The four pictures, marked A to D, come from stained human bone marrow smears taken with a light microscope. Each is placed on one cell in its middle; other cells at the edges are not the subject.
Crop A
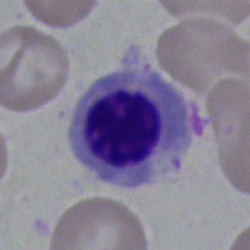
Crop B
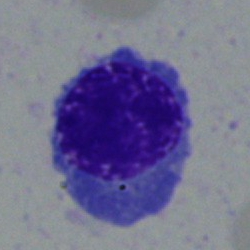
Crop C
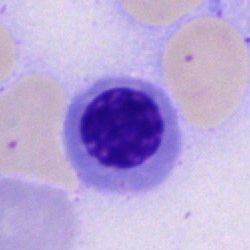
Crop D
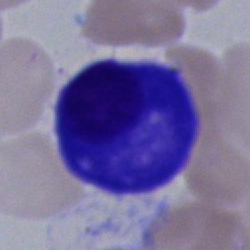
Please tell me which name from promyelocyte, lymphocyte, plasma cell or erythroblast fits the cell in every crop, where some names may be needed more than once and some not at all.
A: erythroblast
B: plasma cell
C: erythroblast
D: plasma cell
